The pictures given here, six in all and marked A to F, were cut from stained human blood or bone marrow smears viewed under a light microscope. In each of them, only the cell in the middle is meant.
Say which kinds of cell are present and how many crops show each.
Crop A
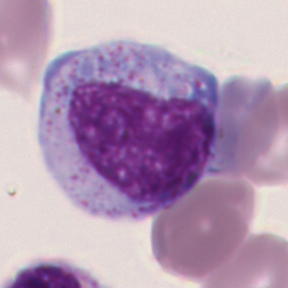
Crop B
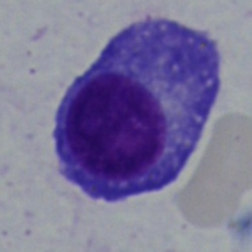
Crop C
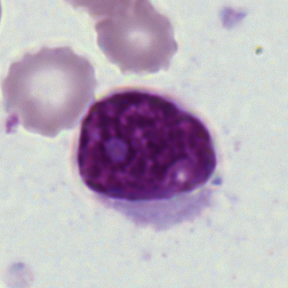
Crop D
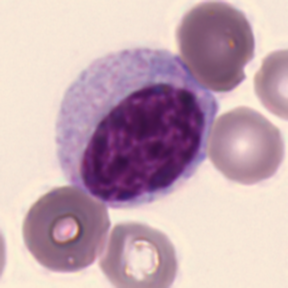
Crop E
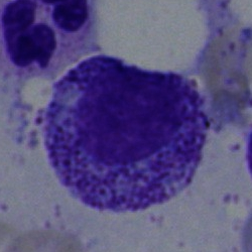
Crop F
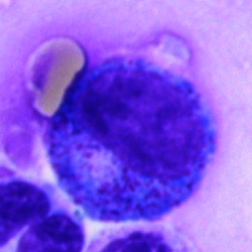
promyelocyte: 2
plasma cell: 2
myelocyte: 2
